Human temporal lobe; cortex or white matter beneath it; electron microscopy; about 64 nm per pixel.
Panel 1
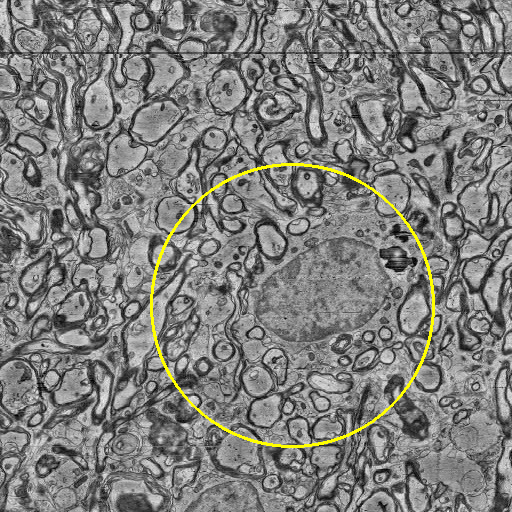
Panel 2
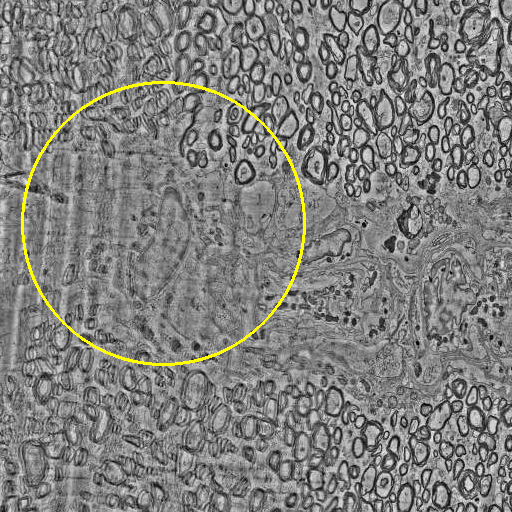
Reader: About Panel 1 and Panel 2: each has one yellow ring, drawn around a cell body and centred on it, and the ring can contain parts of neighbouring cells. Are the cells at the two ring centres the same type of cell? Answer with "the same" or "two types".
two types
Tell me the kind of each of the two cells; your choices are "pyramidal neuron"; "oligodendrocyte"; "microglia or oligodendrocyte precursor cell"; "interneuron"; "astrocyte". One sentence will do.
The ringed cell is an oligodendrocyte in the first picture and a microglial cell or oligodendrocyte precursor cell in the second picture.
